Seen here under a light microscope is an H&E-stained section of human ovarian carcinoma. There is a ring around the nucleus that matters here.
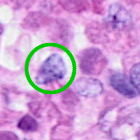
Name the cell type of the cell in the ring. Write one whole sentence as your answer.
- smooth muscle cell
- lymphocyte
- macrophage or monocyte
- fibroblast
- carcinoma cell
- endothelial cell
What the cell in the ring represents is a macrophage or monocyte.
